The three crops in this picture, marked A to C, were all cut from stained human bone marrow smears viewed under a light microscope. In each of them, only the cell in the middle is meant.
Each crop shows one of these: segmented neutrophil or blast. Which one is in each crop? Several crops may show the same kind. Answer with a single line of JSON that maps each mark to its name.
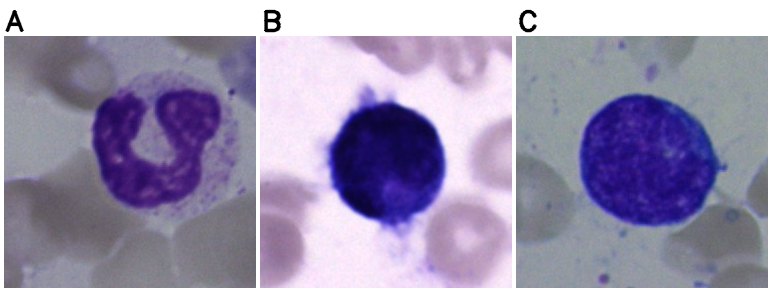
{"A": "segmented neutrophil", "B": "blast", "C": "blast"}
